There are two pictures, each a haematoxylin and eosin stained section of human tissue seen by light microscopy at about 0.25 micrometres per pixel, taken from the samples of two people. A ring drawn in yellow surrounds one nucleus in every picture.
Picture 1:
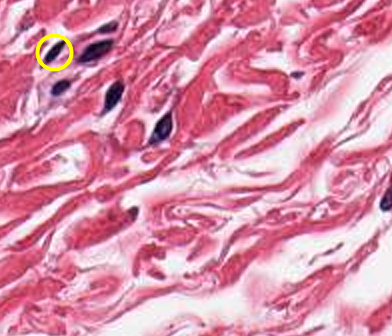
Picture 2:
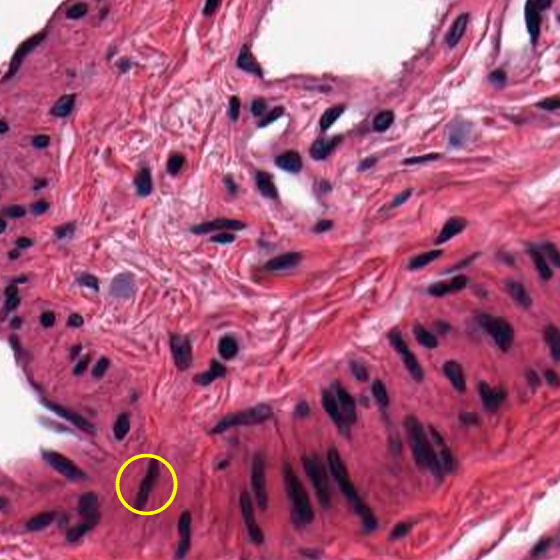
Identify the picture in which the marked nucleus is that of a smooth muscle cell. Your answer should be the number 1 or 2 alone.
2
